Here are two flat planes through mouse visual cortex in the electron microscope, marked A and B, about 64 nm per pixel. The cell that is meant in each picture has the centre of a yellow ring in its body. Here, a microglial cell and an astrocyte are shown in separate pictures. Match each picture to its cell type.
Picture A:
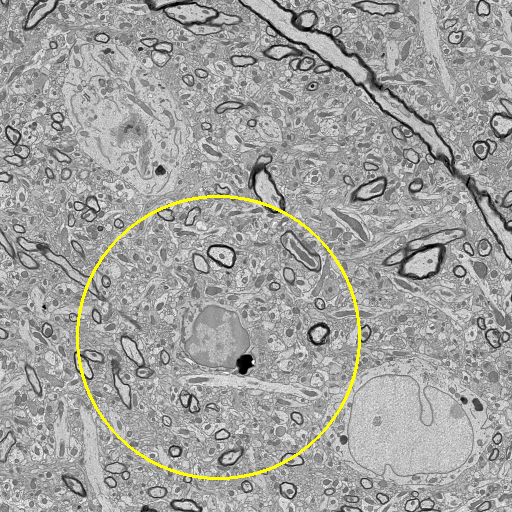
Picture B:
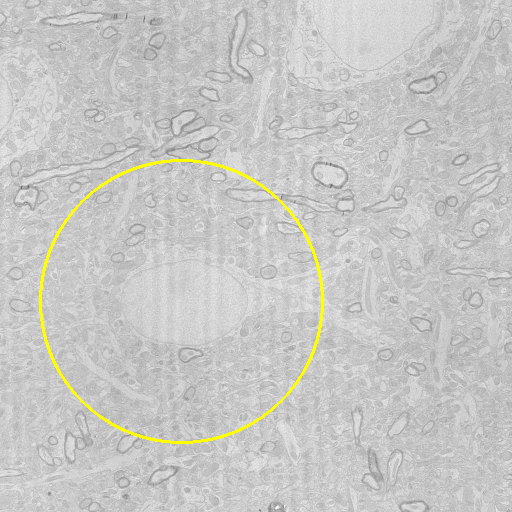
The cell in picture A is a microglial cell, and the one in picture B is an astrocyte.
